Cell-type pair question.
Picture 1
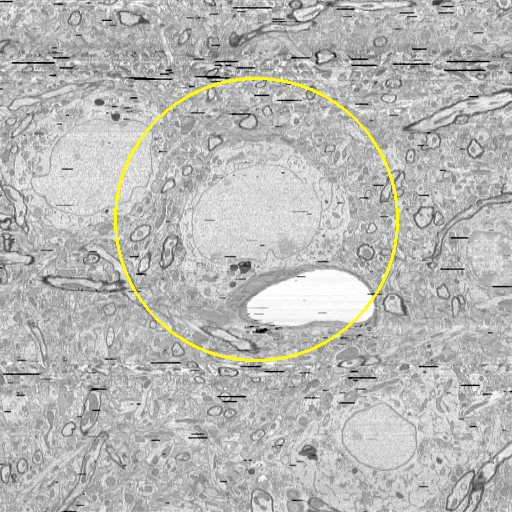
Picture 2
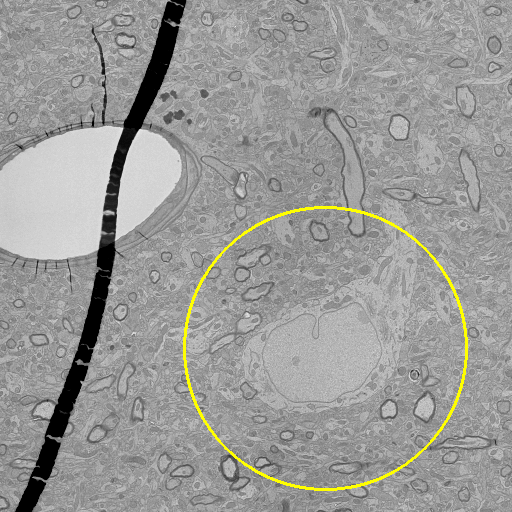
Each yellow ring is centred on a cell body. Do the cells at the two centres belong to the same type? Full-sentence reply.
Yes, the two cells belong to the same type.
